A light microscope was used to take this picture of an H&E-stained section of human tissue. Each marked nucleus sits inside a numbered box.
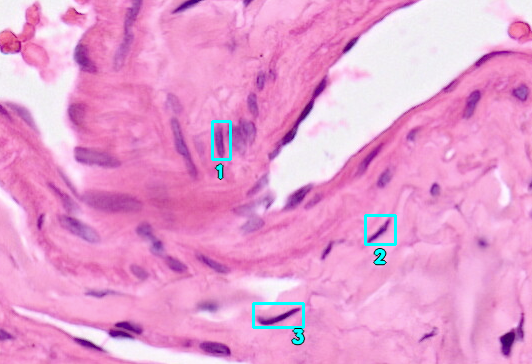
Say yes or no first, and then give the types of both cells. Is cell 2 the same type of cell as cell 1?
No, sorry, cell 2 is a fibroblast and cell 1 is a smooth muscle cell or pericyte.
